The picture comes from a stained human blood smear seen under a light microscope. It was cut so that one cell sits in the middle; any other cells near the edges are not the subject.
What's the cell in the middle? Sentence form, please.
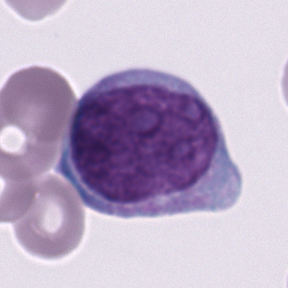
The cell centered in this field of view is an atypical promyelocyte.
